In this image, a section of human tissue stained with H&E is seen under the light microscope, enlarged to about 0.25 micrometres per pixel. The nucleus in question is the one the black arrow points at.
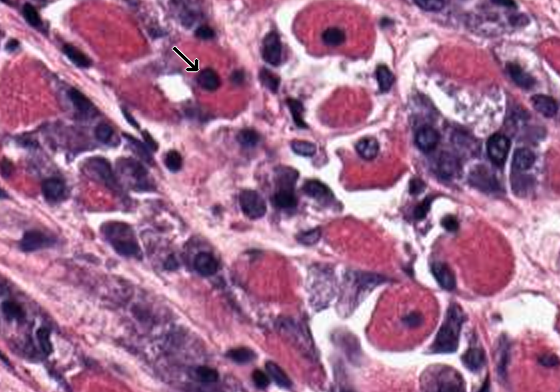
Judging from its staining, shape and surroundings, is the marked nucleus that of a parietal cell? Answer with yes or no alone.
yes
